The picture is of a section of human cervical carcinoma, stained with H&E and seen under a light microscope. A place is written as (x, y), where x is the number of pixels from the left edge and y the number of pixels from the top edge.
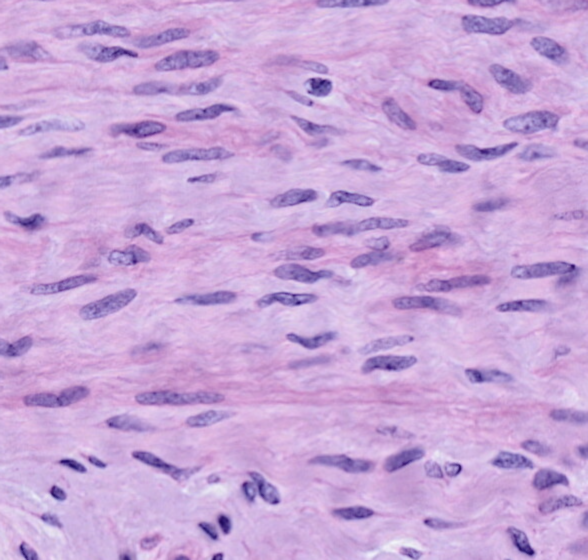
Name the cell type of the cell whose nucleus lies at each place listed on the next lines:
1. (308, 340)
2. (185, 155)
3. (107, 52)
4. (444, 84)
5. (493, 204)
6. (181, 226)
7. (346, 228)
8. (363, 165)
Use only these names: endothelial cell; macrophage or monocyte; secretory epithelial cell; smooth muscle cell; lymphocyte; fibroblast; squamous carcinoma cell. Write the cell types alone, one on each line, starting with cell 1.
fibroblast
smooth muscle cell
smooth muscle cell
smooth muscle cell
fibroblast
smooth muscle cell
smooth muscle cell
fibroblast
